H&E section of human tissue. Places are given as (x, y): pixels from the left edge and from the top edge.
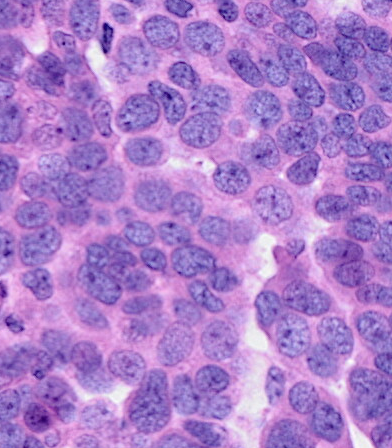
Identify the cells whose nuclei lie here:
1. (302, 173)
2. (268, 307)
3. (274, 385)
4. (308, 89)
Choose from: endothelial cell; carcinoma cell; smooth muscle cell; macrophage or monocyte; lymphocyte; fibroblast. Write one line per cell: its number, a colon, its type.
1: carcinoma cell
2: carcinoma cell
3: macrophage or monocyte
4: carcinoma cell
